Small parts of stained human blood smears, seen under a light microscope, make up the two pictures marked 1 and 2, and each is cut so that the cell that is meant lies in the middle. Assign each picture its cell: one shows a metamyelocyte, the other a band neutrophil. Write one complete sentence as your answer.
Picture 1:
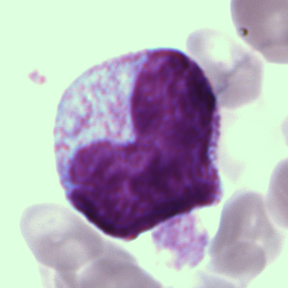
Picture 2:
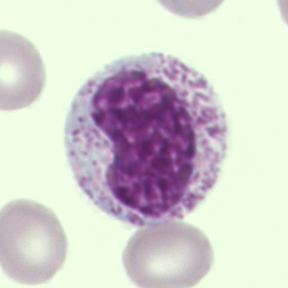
It is picture 1 that shows a band neutrophil, and picture 2 that shows a metamyelocyte.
